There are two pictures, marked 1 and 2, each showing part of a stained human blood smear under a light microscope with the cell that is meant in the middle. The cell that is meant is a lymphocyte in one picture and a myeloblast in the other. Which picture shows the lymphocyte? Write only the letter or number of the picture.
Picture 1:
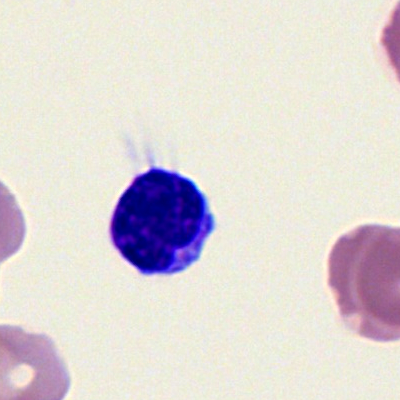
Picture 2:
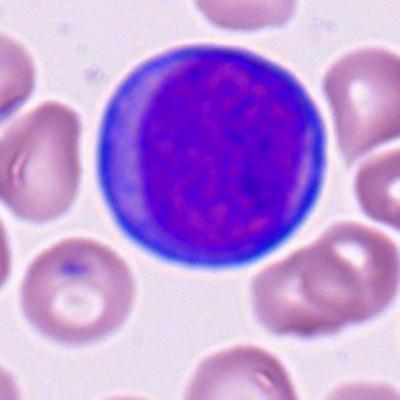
1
